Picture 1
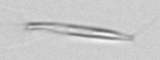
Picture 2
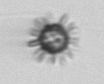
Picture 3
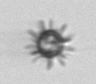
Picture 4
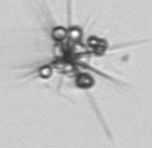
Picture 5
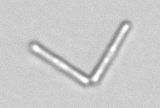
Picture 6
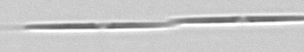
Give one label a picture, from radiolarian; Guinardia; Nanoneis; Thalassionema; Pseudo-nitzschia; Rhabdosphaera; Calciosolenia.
1. Calciosolenia
2. Rhabdosphaera
3. Rhabdosphaera
4. radiolarian
5. Nanoneis
6. Pseudo-nitzschia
